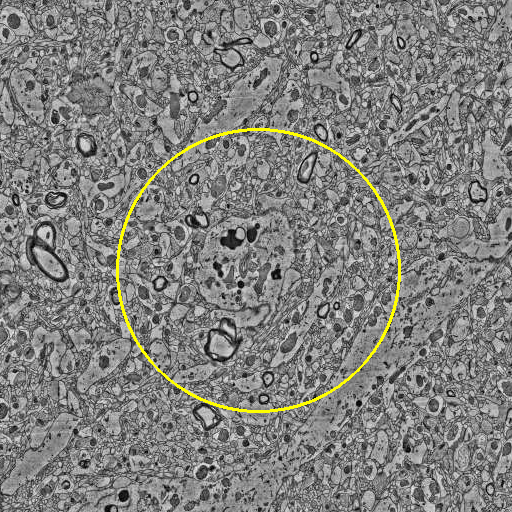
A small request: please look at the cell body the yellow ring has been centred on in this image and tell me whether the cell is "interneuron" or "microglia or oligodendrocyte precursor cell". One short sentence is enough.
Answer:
The cell marked by the ring is an interneuron.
